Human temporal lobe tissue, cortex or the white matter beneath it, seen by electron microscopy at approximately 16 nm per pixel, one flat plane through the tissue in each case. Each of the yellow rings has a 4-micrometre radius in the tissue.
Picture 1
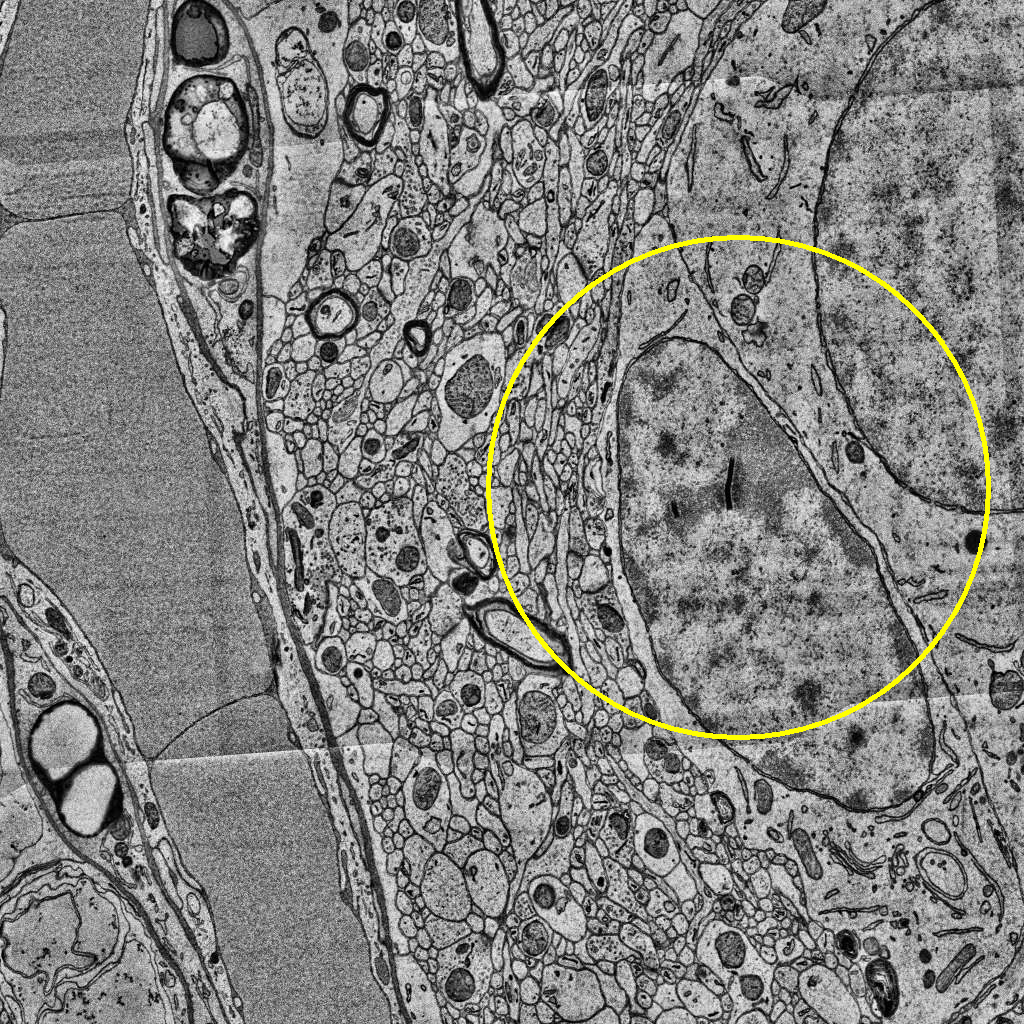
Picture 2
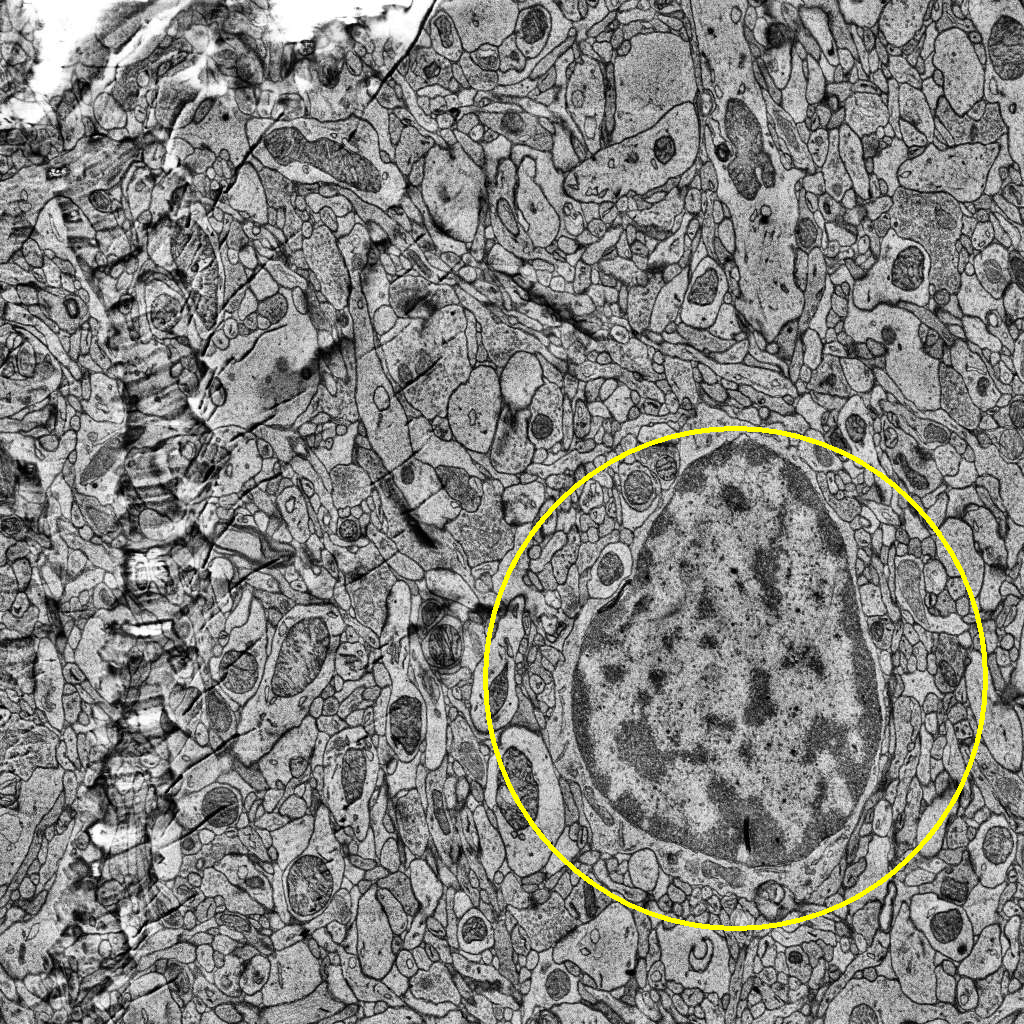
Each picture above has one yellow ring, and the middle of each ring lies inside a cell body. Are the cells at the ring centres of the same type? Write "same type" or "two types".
same type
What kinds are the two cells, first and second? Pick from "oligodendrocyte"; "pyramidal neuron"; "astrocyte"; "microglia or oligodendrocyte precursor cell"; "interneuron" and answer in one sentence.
The cell in the first picture is a microglial cell or oligodendrocyte precursor cell, and so is the one in the second.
